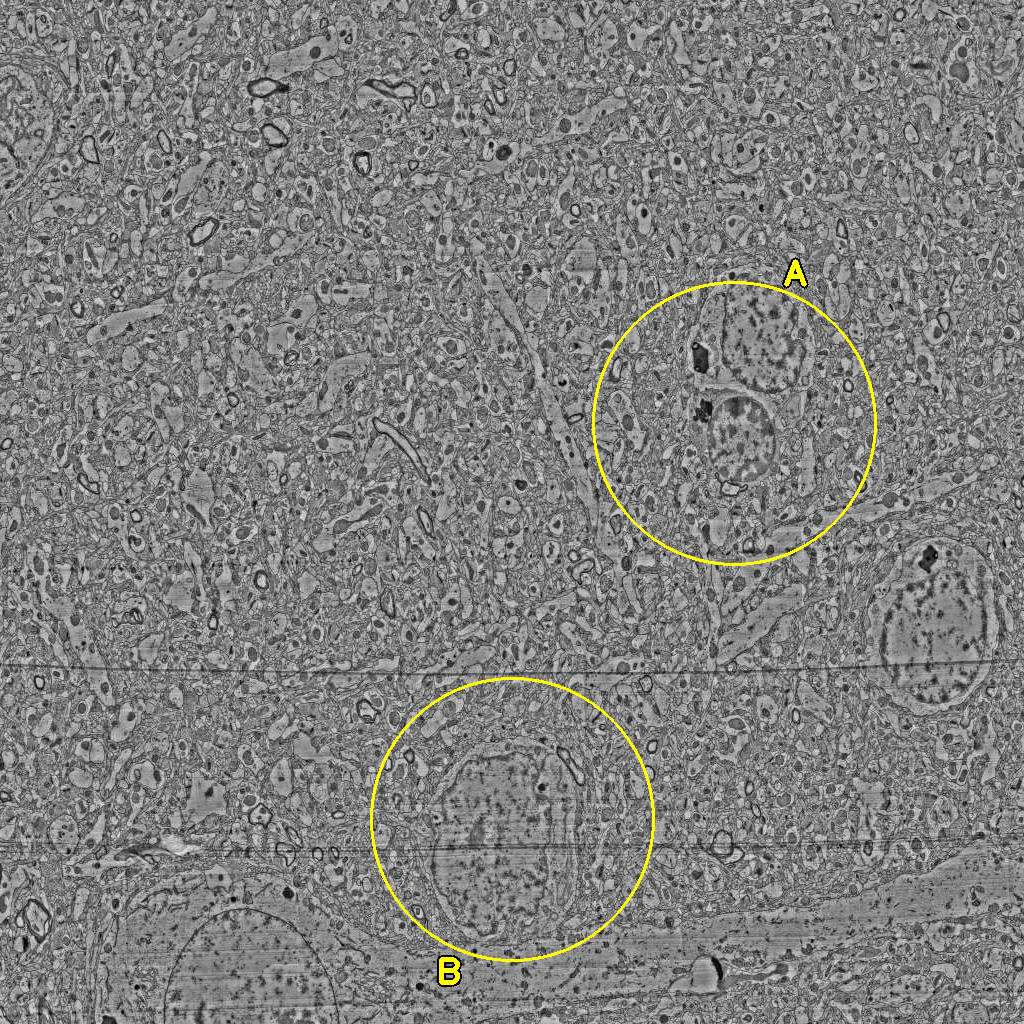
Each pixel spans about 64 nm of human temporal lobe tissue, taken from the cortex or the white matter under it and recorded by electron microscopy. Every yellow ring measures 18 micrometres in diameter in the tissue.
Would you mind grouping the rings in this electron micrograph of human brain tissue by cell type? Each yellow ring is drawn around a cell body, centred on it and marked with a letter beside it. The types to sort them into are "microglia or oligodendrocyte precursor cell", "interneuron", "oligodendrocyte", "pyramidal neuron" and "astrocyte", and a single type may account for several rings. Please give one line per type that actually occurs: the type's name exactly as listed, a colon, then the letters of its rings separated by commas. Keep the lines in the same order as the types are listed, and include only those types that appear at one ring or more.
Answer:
interneuron: B
oligodendrocyte: A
